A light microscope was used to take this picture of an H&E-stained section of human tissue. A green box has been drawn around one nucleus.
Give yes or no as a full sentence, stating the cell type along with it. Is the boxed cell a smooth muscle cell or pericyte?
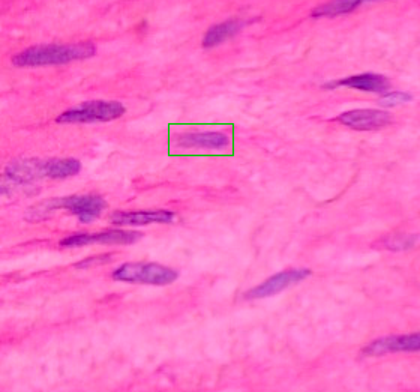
Yes, regarding cell type, the boxed cell is a smooth muscle cell or pericyte.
